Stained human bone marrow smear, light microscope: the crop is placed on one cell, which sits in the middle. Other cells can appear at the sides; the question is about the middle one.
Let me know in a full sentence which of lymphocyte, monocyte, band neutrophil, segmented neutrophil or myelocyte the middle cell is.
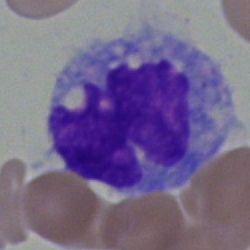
To answer, the cell in the center of the crop is a monocyte.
